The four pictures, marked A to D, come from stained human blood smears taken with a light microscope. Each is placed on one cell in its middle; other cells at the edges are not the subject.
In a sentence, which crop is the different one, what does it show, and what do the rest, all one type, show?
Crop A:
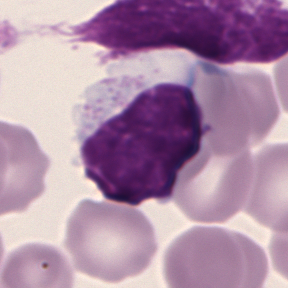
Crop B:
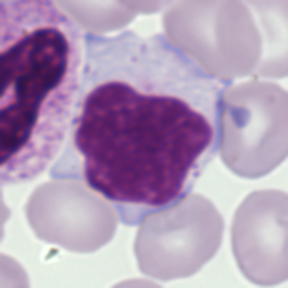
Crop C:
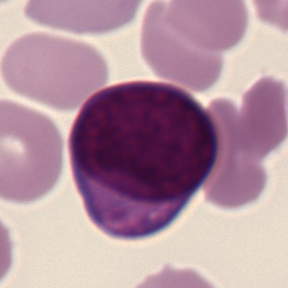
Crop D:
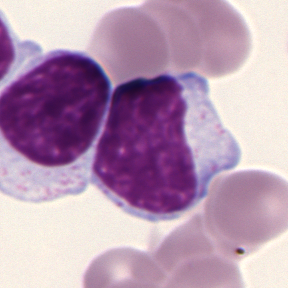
Whereas the other crops all show large granular lymphocytes, crop C shows a myeloblast.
